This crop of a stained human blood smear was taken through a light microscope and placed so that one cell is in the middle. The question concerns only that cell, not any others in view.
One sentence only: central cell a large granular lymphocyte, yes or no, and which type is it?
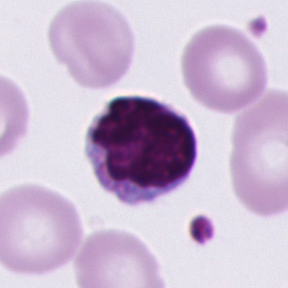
Yes, the cell in the exact middle is a large granular lymphocyte.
